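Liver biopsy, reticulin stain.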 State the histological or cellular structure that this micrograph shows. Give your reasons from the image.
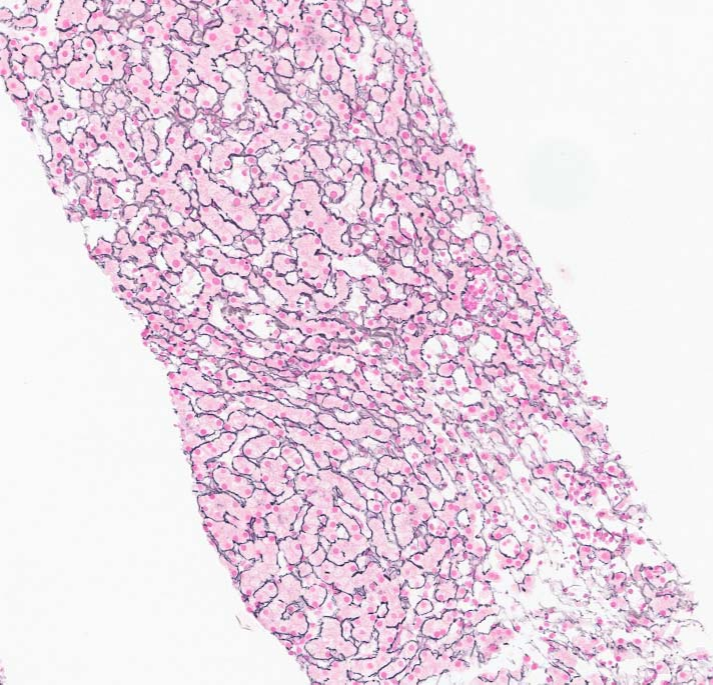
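2-cell-thick hepatocyte plates. Black reticulin lines frame plates roughly two cells wide. Pink polygonal cells with round nuclei fill the framed plates.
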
